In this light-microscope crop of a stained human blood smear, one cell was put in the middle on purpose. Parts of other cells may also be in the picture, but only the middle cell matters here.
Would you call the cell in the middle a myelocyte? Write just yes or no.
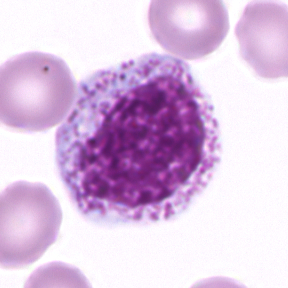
no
